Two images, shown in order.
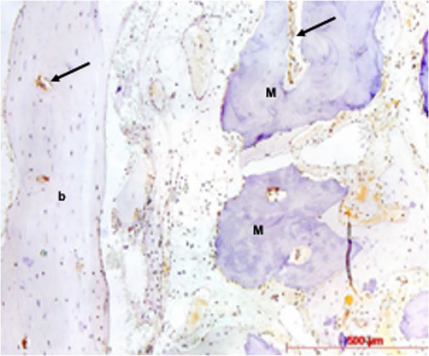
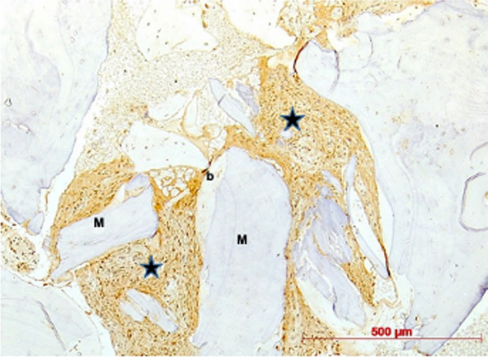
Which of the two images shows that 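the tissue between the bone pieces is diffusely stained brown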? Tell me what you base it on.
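Second image: the fibrous tissue among the granules is evenly brown throughout. First image: the soft tissue between bone is pale with only a few small brown spots.
Conclusion: the second image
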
